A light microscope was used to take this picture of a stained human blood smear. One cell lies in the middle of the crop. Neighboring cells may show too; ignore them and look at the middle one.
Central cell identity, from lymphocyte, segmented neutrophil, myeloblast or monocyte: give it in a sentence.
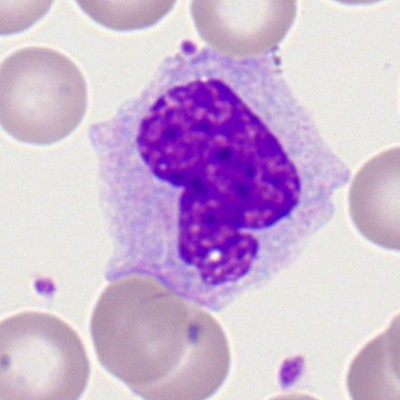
This crop is built around a monocyte at its centre.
